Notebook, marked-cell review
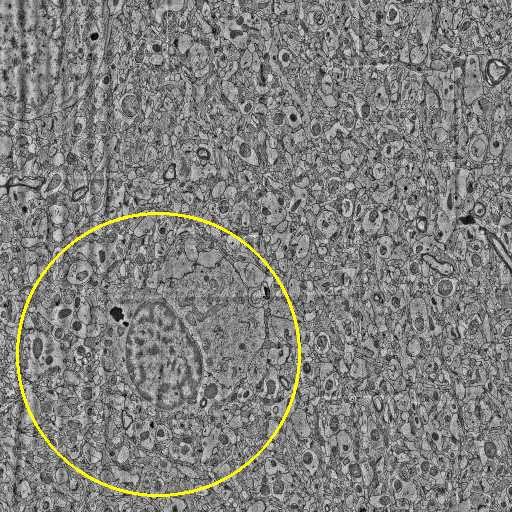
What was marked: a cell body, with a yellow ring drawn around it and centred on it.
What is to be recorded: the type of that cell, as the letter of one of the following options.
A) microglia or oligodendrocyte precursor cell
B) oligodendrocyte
B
